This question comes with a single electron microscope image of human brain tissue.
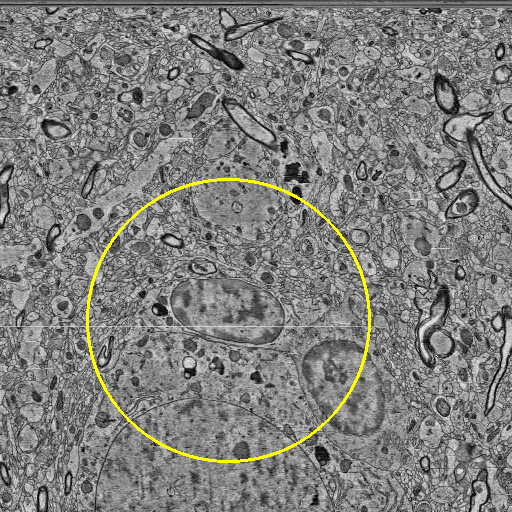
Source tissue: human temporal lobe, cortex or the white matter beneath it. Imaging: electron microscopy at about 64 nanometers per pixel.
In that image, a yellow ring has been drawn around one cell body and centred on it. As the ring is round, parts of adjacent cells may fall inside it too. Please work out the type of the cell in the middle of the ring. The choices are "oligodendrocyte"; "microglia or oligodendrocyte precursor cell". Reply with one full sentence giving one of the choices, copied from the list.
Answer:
Of the choices, a microglial cell or oligodendrocyte precursor cell is the cell sitting in the middle of the ring.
